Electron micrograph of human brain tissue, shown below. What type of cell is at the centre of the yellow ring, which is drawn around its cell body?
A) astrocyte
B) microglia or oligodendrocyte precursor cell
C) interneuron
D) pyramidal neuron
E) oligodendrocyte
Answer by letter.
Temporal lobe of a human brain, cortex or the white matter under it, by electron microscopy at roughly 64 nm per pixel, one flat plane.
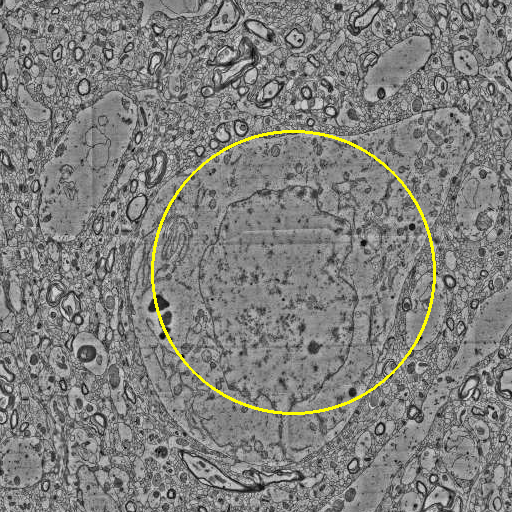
D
